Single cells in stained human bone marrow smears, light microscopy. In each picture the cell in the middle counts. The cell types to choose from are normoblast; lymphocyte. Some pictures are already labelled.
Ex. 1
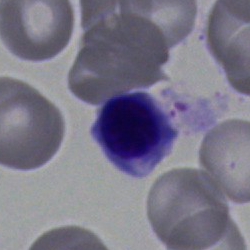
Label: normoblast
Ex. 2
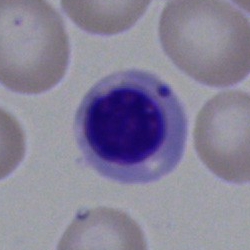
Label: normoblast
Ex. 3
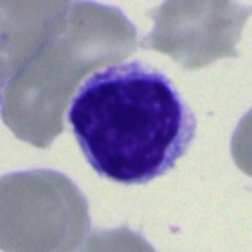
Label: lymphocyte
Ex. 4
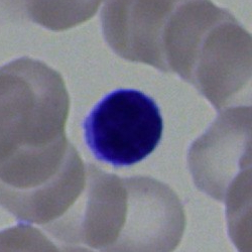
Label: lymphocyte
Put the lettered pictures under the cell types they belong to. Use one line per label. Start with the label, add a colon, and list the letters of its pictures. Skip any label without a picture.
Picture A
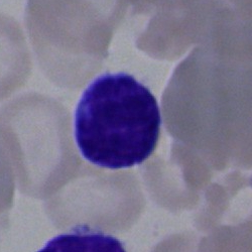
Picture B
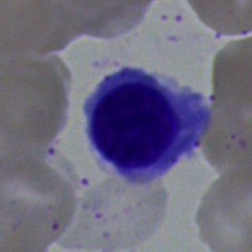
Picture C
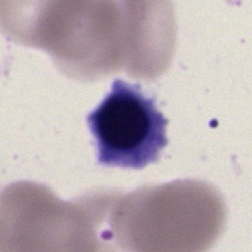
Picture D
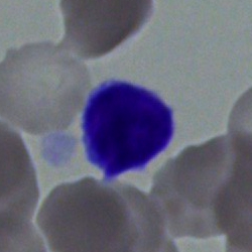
normoblast: B, C
lymphocyte: A, D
